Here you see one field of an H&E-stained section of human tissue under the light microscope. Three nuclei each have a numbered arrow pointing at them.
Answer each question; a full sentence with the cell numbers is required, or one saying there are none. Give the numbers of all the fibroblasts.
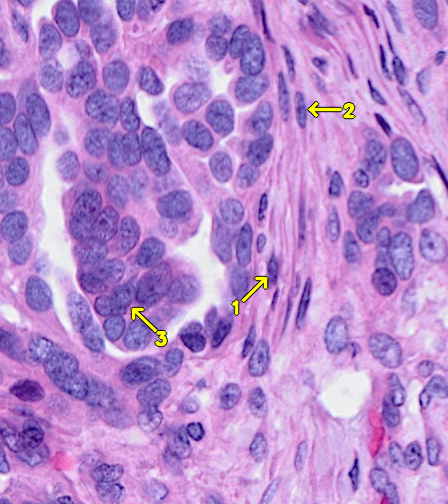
By cell type, the cells numbered 1 and 2 are fibroblasts.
